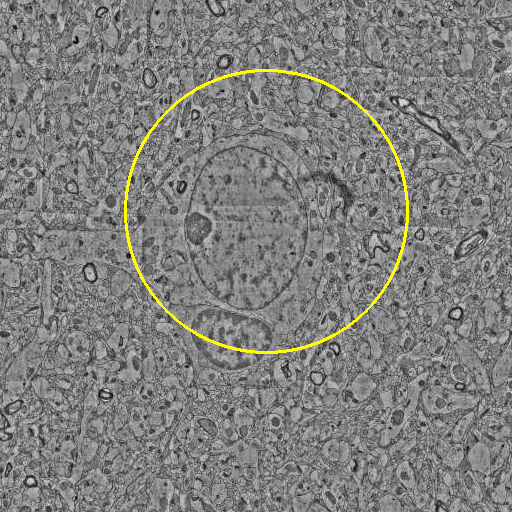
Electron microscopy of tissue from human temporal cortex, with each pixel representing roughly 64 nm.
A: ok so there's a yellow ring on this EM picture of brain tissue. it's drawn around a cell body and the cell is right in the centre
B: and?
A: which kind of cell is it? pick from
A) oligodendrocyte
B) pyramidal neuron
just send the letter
B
